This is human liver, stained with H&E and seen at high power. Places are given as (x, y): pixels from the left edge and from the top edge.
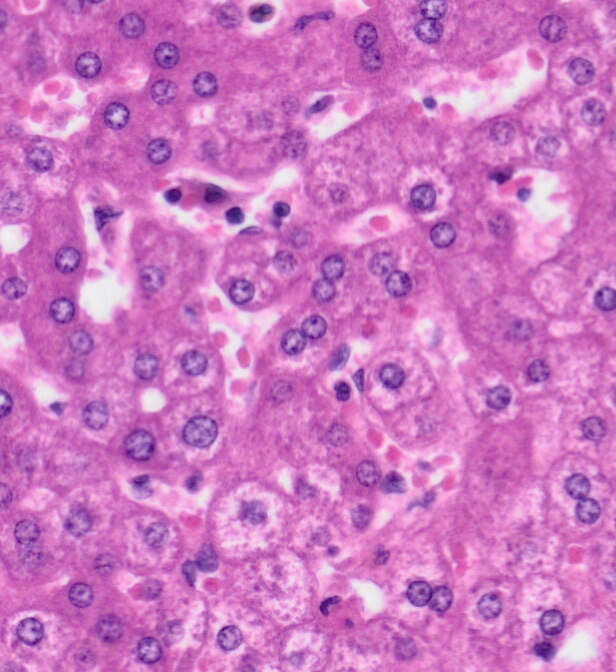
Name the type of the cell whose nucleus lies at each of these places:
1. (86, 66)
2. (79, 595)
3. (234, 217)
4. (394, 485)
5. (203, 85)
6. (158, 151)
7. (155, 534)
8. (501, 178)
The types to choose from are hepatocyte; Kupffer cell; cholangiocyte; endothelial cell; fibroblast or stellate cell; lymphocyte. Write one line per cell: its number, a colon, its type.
1: hepatocyte
2: hepatocyte
3: lymphocyte
4: endothelial cell
5: hepatocyte
6: hepatocyte
7: hepatocyte
8: endothelial cell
